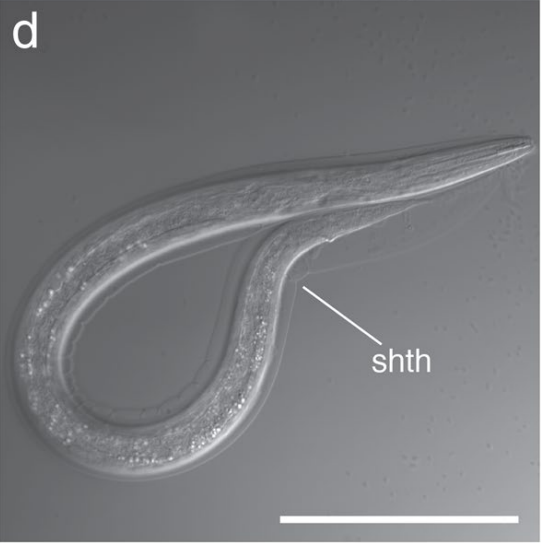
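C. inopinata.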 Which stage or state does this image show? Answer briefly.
Dauer-like larva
